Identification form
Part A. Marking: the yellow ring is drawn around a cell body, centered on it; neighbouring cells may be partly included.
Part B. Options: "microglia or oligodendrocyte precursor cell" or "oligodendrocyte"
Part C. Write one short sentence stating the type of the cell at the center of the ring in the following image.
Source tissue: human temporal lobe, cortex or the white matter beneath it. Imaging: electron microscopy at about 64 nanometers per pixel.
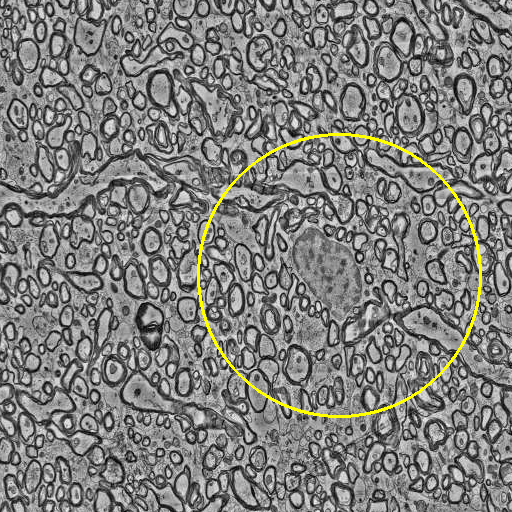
The center of the ring holds an oligodendrocyte.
